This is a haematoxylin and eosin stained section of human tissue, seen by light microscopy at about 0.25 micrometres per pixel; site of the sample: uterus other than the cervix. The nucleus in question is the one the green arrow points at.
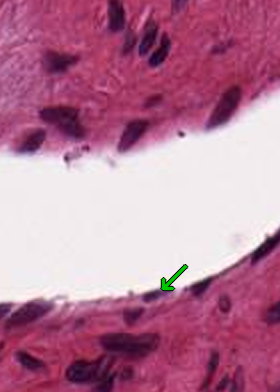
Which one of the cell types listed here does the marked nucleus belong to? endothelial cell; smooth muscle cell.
endothelial cell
